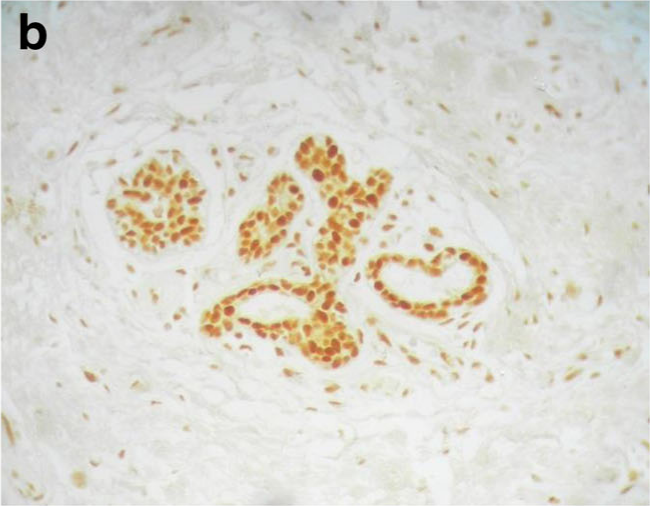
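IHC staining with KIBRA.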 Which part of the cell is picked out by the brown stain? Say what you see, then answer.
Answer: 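Brown colour sits in oval nuclei of the epithelial cells. Cytoplasm and surrounding stroma are pale.
Answer: nuclear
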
